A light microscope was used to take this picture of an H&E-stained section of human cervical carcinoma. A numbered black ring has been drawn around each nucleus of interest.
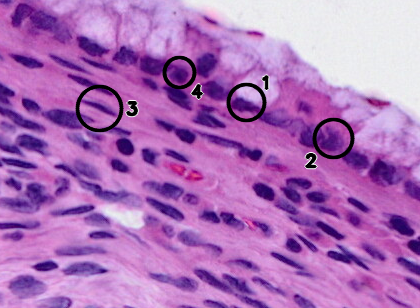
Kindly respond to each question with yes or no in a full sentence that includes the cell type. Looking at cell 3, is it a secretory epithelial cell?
No, the correct answer for cell 3 is a fibroblast, not a secretory epithelial cell.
